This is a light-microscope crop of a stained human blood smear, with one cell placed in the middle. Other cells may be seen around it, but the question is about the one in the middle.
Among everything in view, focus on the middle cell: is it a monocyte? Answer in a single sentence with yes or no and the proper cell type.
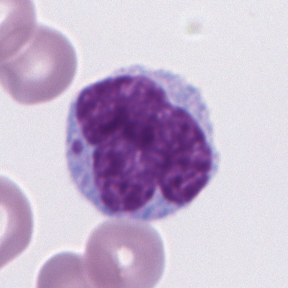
Yes, that is a monocyte in the middle of the crop.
